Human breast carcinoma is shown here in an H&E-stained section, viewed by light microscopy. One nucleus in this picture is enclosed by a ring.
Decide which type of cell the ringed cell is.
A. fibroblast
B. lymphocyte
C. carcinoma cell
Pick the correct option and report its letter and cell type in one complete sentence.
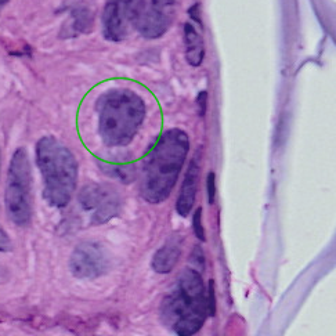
Under option C, the ringed cell is a carcinoma cell, which is the correct identification.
